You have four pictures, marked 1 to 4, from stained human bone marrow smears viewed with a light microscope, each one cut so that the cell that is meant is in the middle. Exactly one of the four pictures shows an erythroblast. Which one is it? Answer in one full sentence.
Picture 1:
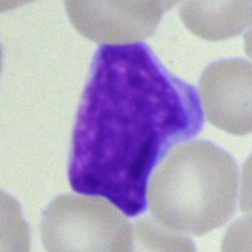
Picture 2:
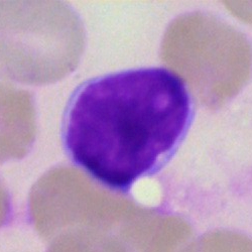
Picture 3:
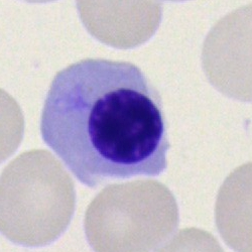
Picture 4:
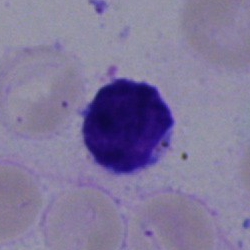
It is picture 3 that shows the erythroblast.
